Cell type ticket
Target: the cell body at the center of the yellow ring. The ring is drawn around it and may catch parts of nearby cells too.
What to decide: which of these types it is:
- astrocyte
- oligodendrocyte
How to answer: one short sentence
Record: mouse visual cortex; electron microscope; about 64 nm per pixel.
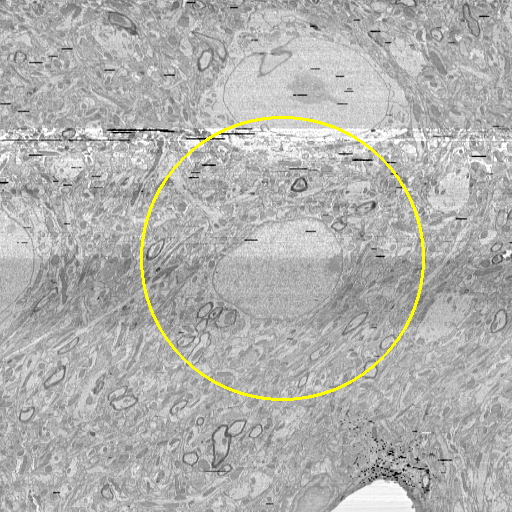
The cell at the center of the ring is an astrocyte.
